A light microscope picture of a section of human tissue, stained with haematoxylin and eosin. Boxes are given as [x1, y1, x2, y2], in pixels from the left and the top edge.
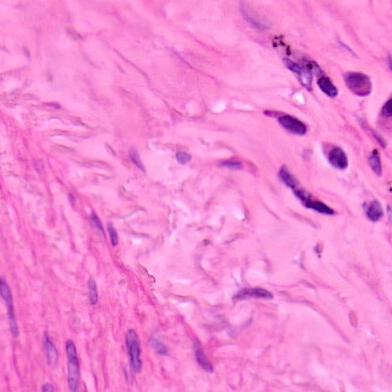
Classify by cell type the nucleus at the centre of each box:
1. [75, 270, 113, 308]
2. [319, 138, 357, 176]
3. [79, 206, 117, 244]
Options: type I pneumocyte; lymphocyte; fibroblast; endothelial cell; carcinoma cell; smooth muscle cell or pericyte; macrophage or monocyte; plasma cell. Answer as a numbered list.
1. smooth muscle cell or pericyte
2. plasma cell
3. smooth muscle cell or pericyte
